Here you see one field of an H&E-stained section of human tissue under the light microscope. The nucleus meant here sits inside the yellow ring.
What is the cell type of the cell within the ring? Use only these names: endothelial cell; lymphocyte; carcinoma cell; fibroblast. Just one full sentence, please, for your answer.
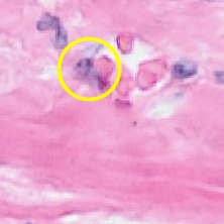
The identity of the cell within the ring is that of an endothelial cell.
